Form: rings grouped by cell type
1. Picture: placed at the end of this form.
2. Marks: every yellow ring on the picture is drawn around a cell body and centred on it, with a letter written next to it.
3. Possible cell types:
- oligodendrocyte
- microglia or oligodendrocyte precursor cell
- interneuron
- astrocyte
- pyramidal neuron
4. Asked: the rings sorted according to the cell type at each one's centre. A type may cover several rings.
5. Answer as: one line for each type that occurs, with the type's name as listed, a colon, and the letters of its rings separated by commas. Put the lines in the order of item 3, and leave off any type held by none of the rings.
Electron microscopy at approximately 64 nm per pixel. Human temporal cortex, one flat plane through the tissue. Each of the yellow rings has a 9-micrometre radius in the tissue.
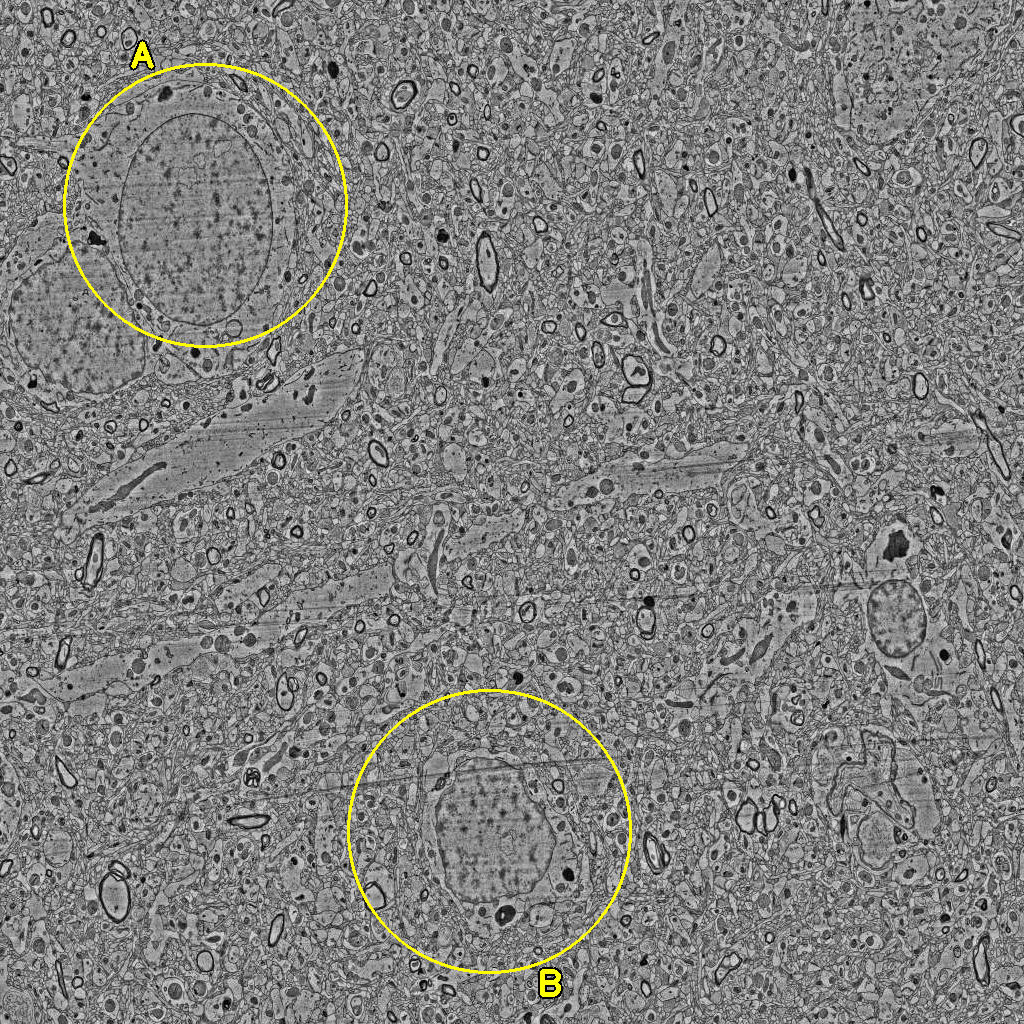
interneuron: B
pyramidal neuron: A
